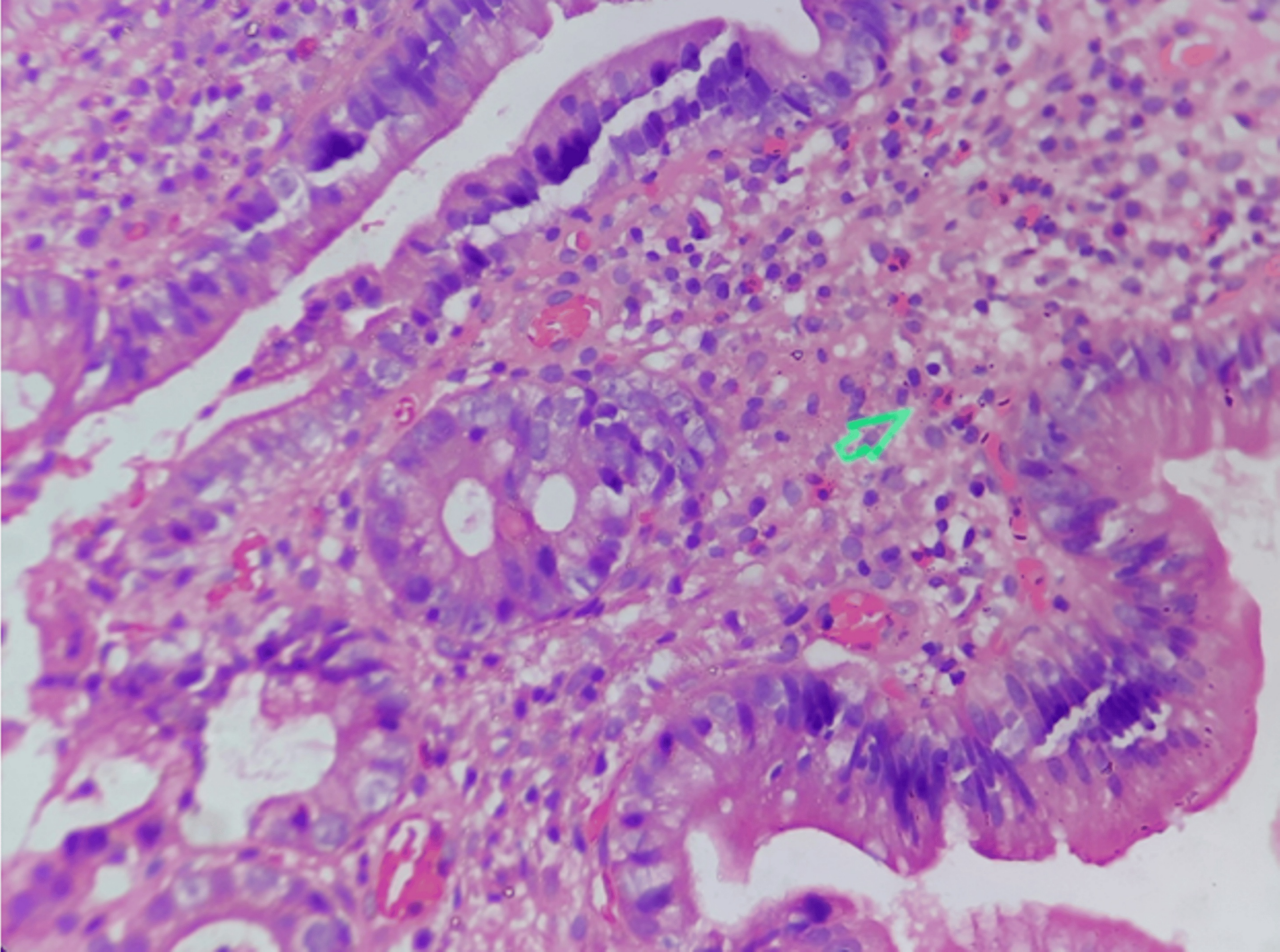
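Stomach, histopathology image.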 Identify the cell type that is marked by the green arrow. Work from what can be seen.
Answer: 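Eosinophils. The arrow points into loose stroma between epithelial-lined glands. Scattered cells in the stroma have bright orange-red cytoplasm. These red-cytoplasm cells are mixed among many small round dark nuclei of other inflammatory cells.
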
